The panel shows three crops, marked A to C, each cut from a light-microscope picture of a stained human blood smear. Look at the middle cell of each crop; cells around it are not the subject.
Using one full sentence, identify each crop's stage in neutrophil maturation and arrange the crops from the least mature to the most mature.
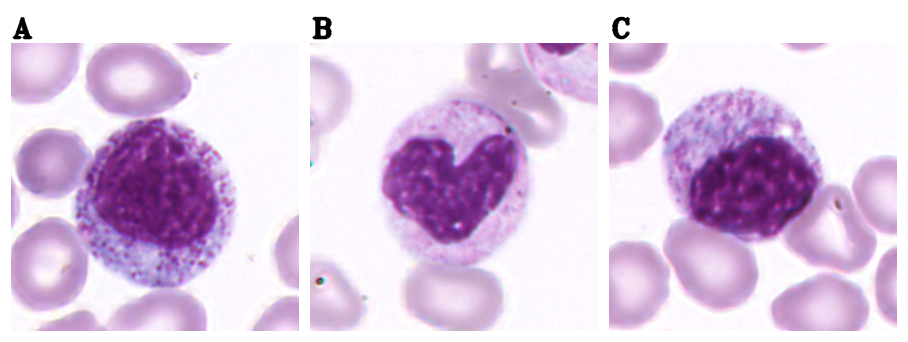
So the order, from least to most mature, is crop A (a myelocyte), crop C (a metamyelocyte) and crop B (a band neutrophil).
